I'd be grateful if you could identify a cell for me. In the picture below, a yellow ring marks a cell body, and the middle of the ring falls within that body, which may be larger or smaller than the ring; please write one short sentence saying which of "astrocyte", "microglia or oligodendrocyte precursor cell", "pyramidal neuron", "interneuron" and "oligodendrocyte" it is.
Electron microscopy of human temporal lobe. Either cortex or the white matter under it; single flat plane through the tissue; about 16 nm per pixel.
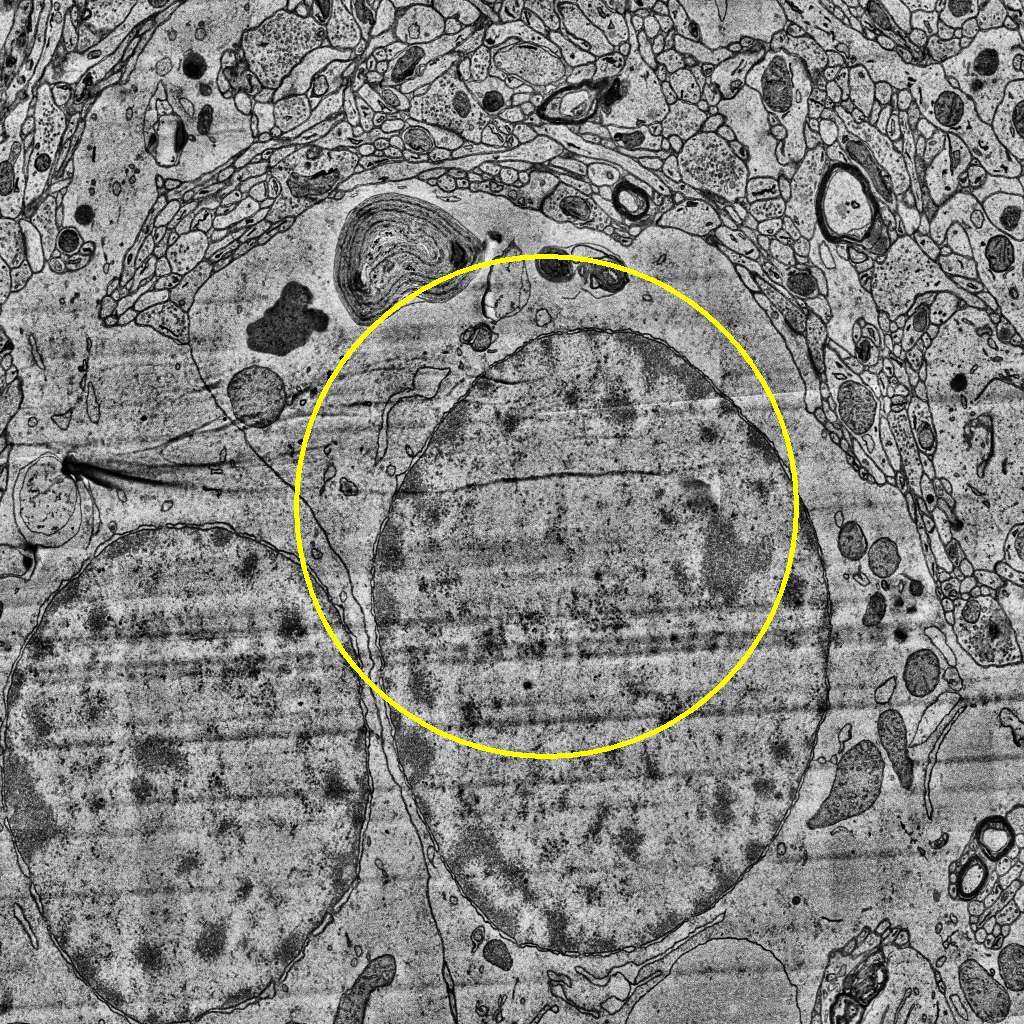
The cell under the ring's centre is an astrocyte.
